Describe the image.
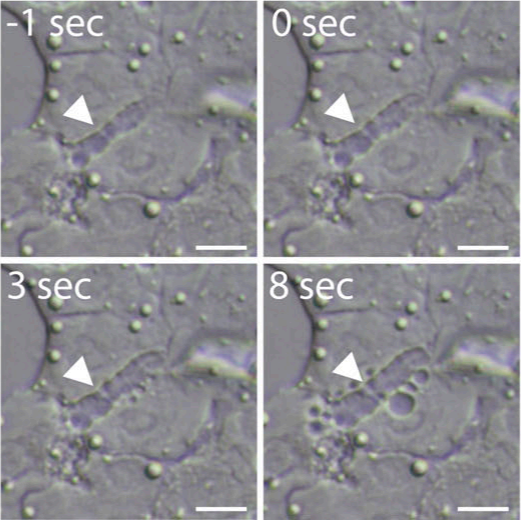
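Time series of cultured cells in relief contrast, with a thin canalicular line running between neighbouring cells and a short cross-wise partition across it under the arrowhead. Round refractile droplets lie scattered over the field.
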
